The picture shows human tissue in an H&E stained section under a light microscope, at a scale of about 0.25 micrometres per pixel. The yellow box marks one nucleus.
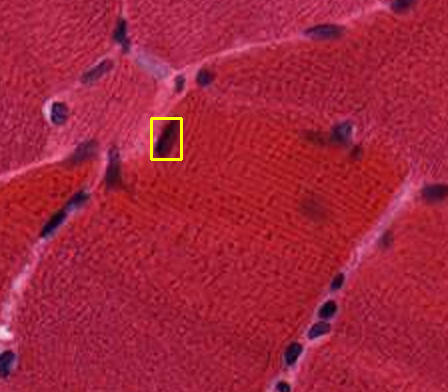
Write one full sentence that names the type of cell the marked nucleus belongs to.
The cell to which the marked nucleus belongs is a skeletal muscle fibre.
